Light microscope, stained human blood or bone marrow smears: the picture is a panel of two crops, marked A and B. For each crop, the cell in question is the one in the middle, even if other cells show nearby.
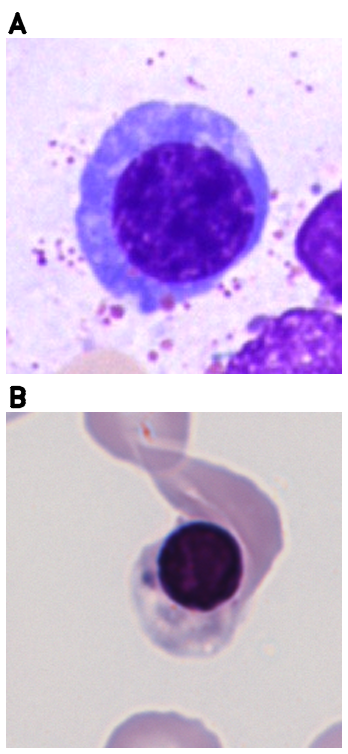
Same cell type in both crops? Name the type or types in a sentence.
Yes, with regard to both crops, the central cells are erythroblasts.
